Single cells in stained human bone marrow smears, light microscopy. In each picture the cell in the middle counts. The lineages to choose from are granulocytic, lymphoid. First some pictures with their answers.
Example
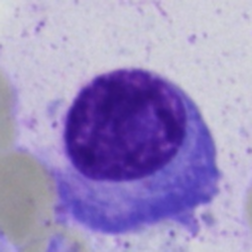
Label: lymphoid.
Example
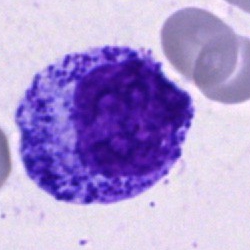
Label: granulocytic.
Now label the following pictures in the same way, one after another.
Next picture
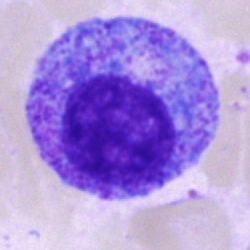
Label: granulocytic.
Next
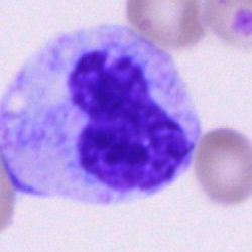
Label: granulocytic.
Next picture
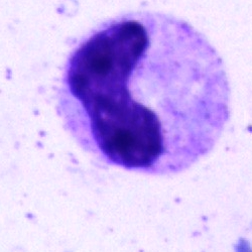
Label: granulocytic.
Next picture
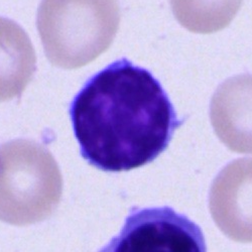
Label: lymphoid.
